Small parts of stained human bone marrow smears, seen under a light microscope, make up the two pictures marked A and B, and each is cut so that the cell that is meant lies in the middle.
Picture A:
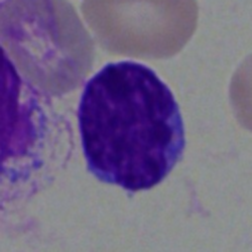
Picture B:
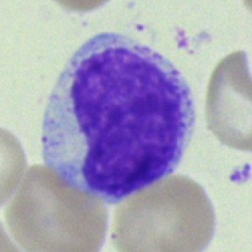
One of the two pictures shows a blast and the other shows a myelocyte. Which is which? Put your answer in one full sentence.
Picture A shows a blast and picture B shows a myelocyte.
